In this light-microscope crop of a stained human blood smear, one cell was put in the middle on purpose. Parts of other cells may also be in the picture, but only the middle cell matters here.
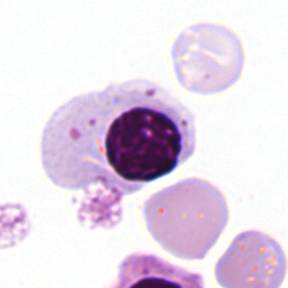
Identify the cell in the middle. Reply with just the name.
normoblast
